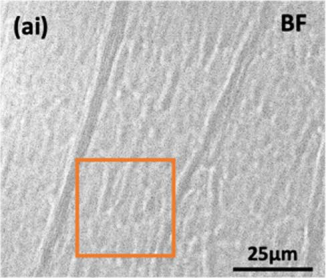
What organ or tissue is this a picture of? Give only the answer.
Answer: Skeletal muscle fibres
